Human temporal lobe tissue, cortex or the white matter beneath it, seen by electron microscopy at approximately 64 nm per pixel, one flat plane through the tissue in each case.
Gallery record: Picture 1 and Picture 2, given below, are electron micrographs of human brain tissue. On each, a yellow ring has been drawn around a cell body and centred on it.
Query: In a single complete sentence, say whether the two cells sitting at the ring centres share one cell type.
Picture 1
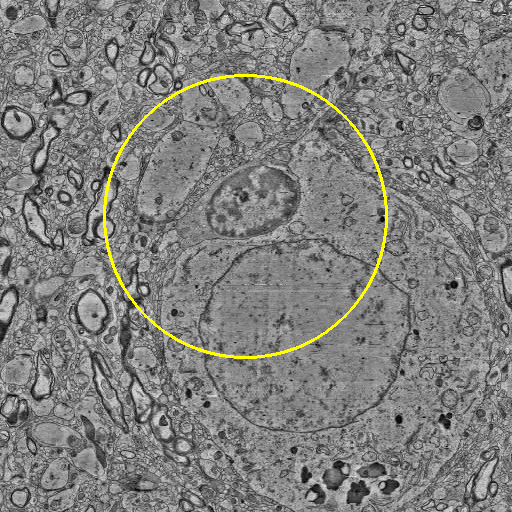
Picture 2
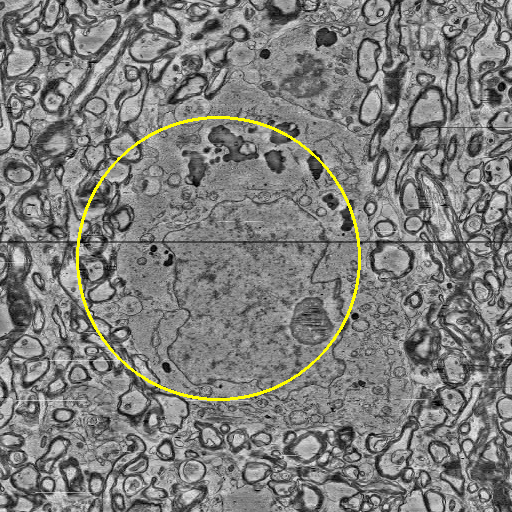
No, in the two pictures the cells at the rings' centres are of two separate types.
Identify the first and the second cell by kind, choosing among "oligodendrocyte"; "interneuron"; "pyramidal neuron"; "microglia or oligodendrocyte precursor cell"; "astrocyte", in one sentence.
The one in the first picture is an oligodendrocyte, while the one in the second is a pyramidal neuron.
